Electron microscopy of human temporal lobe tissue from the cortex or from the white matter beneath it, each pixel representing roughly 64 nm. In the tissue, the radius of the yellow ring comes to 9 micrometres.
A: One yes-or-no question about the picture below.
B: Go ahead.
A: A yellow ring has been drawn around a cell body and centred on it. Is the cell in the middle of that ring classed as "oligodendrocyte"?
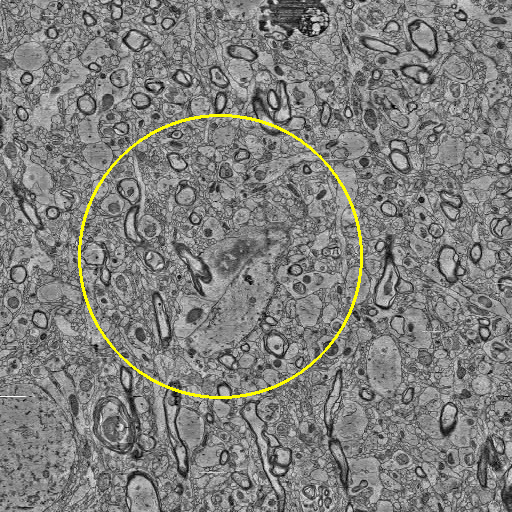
Yes, it is classed that way.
